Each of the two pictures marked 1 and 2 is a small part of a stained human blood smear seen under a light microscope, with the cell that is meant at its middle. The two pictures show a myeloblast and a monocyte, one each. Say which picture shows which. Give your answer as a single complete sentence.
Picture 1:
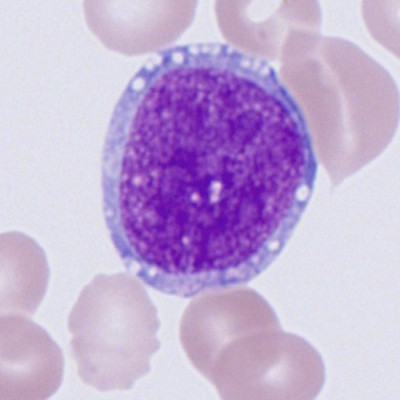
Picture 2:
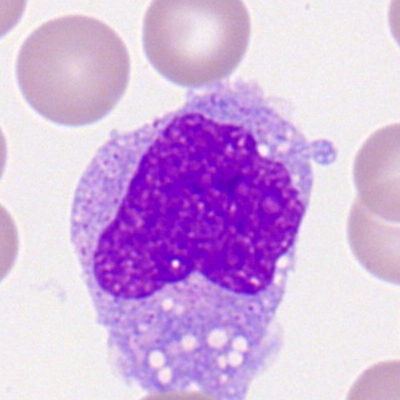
Picture 2 shows a monocyte, while picture 1 shows a myeloblast.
